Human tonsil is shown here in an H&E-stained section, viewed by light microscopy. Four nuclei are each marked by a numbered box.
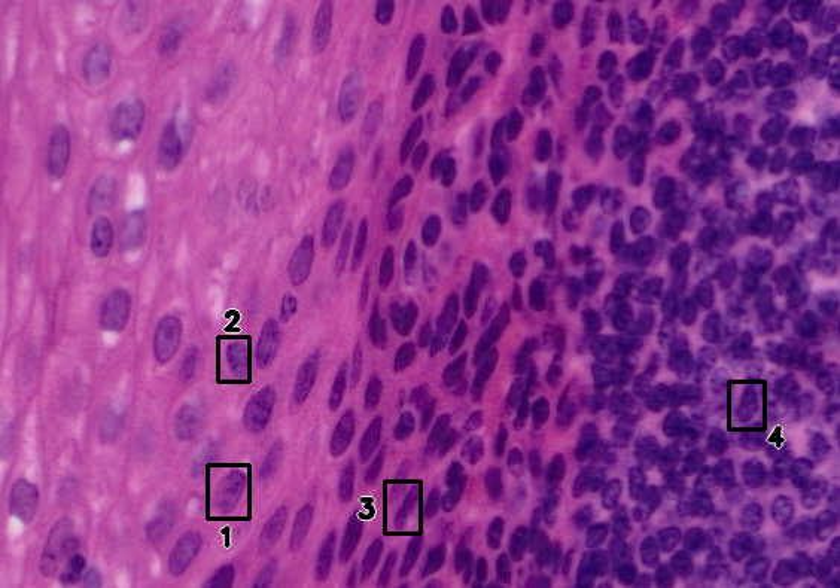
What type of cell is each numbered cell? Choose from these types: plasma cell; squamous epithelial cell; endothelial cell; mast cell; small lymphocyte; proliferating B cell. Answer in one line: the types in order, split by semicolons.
squamous epithelial cell; squamous epithelial cell; squamous epithelial cell; small lymphocyte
